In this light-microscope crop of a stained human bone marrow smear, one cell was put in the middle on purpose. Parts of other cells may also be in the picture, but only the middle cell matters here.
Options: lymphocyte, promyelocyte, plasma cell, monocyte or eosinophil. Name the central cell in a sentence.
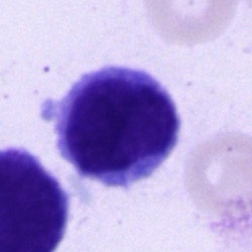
The central element of this crop is a cell, namely a monocyte.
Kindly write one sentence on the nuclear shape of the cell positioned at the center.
Worth pointing out that its nucleus is one compact mass, round, oval or reniform.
